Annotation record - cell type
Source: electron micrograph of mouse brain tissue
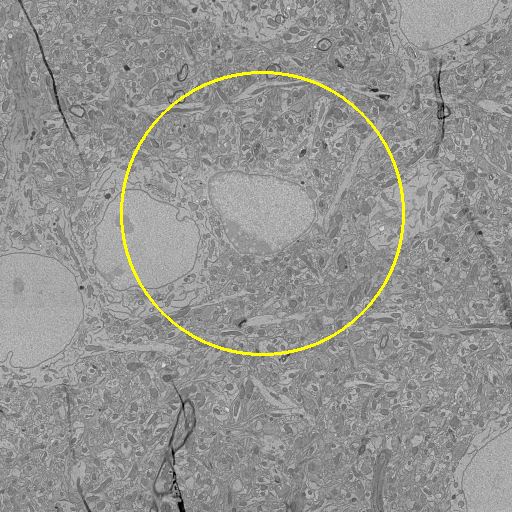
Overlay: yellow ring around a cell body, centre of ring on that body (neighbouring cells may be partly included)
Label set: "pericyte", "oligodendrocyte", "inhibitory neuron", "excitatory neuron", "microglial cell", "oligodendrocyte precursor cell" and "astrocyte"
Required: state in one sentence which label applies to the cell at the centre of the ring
This cell should be labelled as an astrocyte.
